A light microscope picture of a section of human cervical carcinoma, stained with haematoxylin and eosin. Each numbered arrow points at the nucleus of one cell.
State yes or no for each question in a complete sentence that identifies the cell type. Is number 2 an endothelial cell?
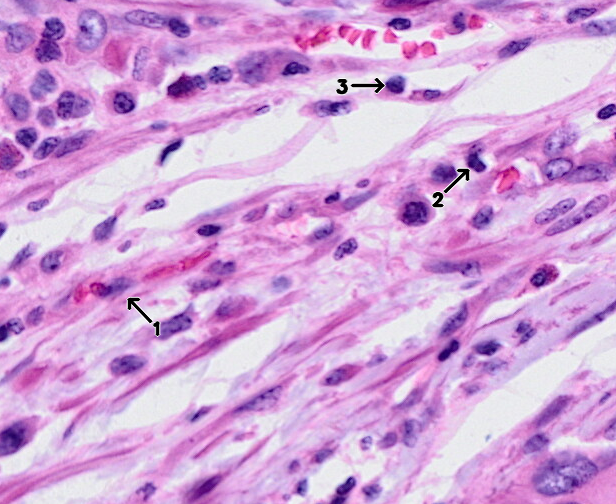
No, cell 2 has been misnamed; it is a lymphocyte, not an endothelial cell.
